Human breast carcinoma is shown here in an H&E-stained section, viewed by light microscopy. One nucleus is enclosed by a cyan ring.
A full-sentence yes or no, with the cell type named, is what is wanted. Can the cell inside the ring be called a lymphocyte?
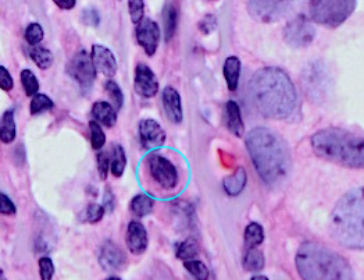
Yes, as far as cell type goes, the cell inside the ring is a lymphocyte.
